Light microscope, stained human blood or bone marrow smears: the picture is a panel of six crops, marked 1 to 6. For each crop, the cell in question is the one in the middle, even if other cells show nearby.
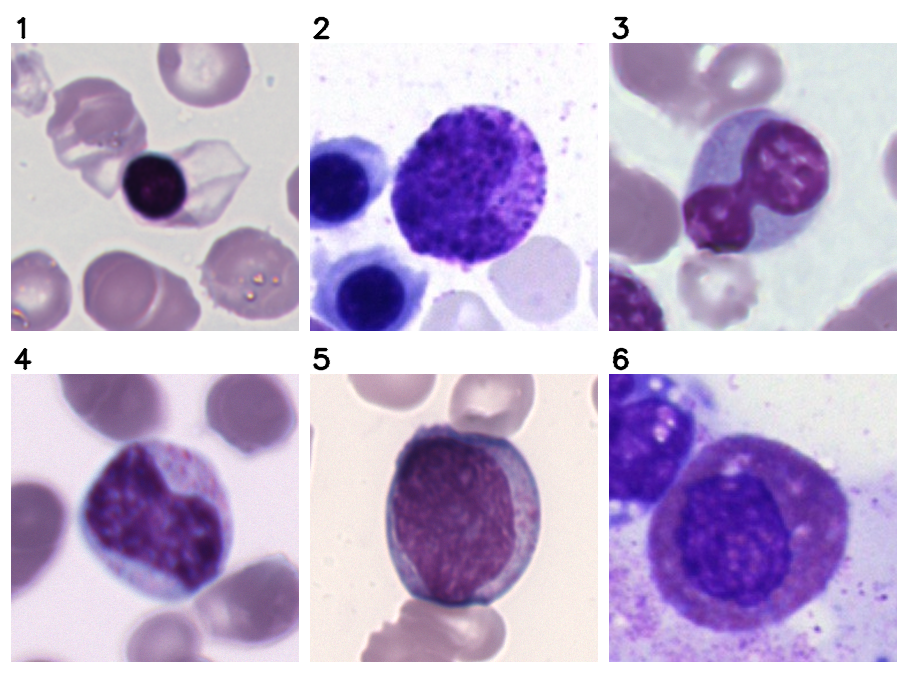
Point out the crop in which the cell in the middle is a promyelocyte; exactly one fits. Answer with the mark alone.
5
